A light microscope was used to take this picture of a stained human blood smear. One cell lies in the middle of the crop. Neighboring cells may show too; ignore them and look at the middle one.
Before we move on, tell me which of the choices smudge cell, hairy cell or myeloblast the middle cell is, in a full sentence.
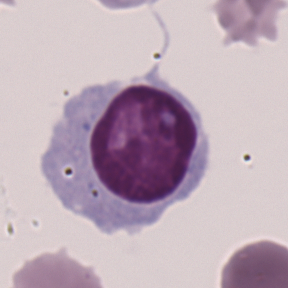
The cell under consideration, at the middle of the crop, is a hairy cell.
